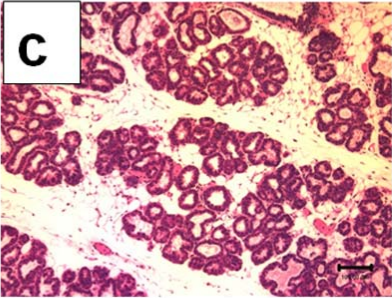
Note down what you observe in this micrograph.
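This is a section of mammary tissue in which large lobules of closely packed, round glandular units fill much of the field. Each unit is lined by a darkly stained purple epithelial layer around a small pale lumen. The lobules are separated by bands of pale pink connective tissue, with fat cells visible mainly at the margins. The dense packing of epithelial units gives the gland a crowded, lobular appearance.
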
